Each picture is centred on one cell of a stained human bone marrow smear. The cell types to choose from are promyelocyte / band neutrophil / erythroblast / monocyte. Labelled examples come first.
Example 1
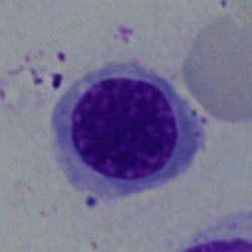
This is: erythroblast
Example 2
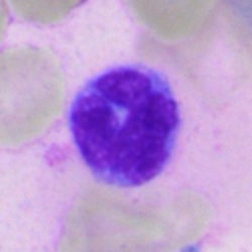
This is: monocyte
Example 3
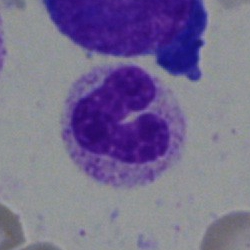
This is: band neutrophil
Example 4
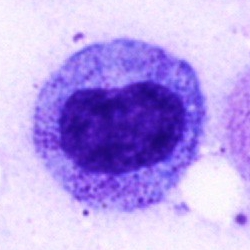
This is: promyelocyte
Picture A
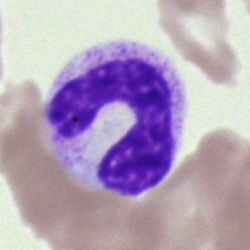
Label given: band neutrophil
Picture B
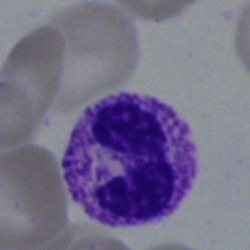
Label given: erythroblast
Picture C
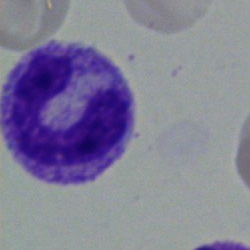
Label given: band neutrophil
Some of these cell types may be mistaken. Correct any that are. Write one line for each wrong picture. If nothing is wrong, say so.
Wrong: B (erythroblast); correct: band neutrophil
